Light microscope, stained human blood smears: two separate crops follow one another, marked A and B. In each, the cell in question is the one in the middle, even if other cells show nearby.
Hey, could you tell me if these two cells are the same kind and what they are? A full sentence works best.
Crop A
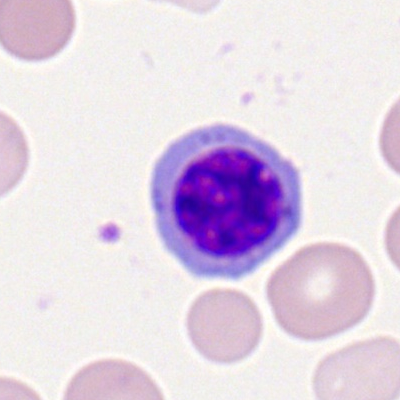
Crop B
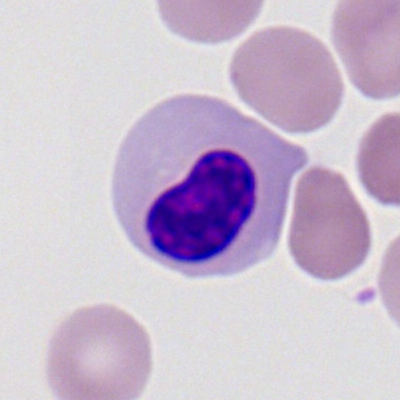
Yes, both crops are centred on normoblasts.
